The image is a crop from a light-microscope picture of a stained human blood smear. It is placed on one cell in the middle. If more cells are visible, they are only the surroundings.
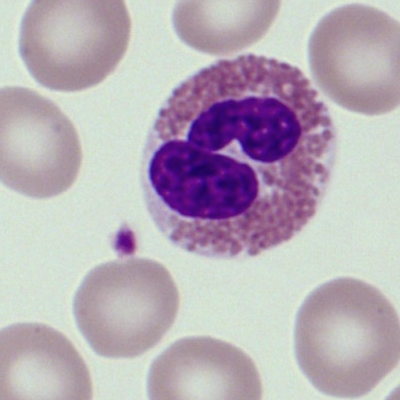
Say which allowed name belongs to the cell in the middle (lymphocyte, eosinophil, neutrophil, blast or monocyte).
eosinophil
